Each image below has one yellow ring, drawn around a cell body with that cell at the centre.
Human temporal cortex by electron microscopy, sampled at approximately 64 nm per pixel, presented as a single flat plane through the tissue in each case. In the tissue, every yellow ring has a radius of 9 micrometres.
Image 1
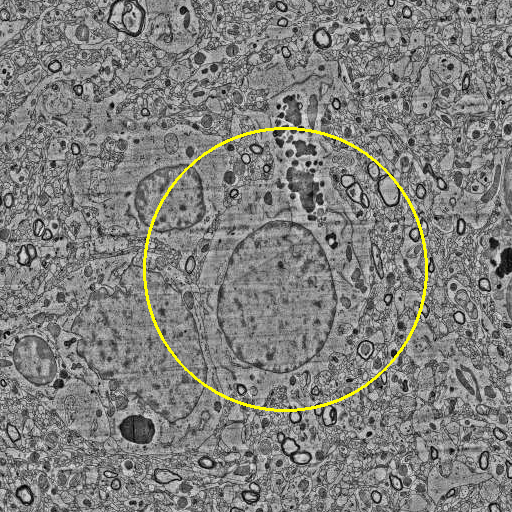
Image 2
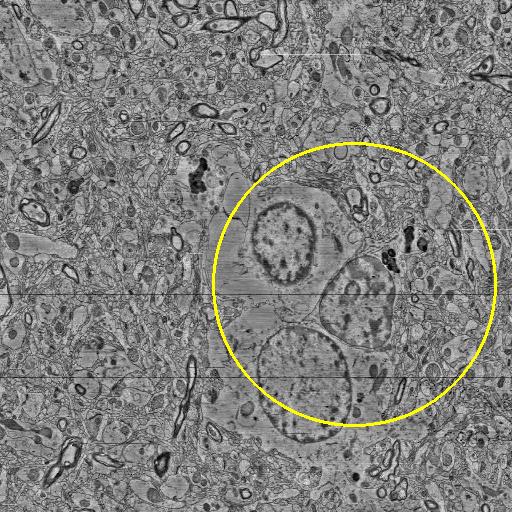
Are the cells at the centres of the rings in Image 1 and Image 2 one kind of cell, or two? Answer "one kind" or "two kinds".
two kinds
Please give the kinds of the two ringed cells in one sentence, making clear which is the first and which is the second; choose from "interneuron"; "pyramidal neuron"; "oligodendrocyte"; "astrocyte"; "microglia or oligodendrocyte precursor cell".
In the second picture the ringed cell is a microglial cell or oligodendrocyte precursor cell; in the first it is an astrocyte.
